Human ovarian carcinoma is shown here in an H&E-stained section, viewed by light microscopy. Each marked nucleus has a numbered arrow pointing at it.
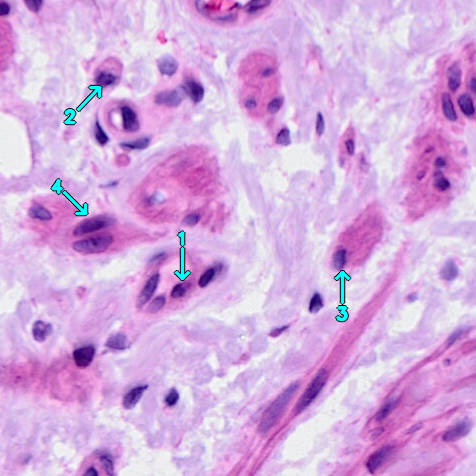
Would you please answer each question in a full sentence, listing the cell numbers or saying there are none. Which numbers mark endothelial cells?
The numbered cell that is an endothelial cell is cell 1, and it is the only one.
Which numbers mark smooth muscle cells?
The cells bearing the numbers 3 and 4 are smooth muscle cells.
